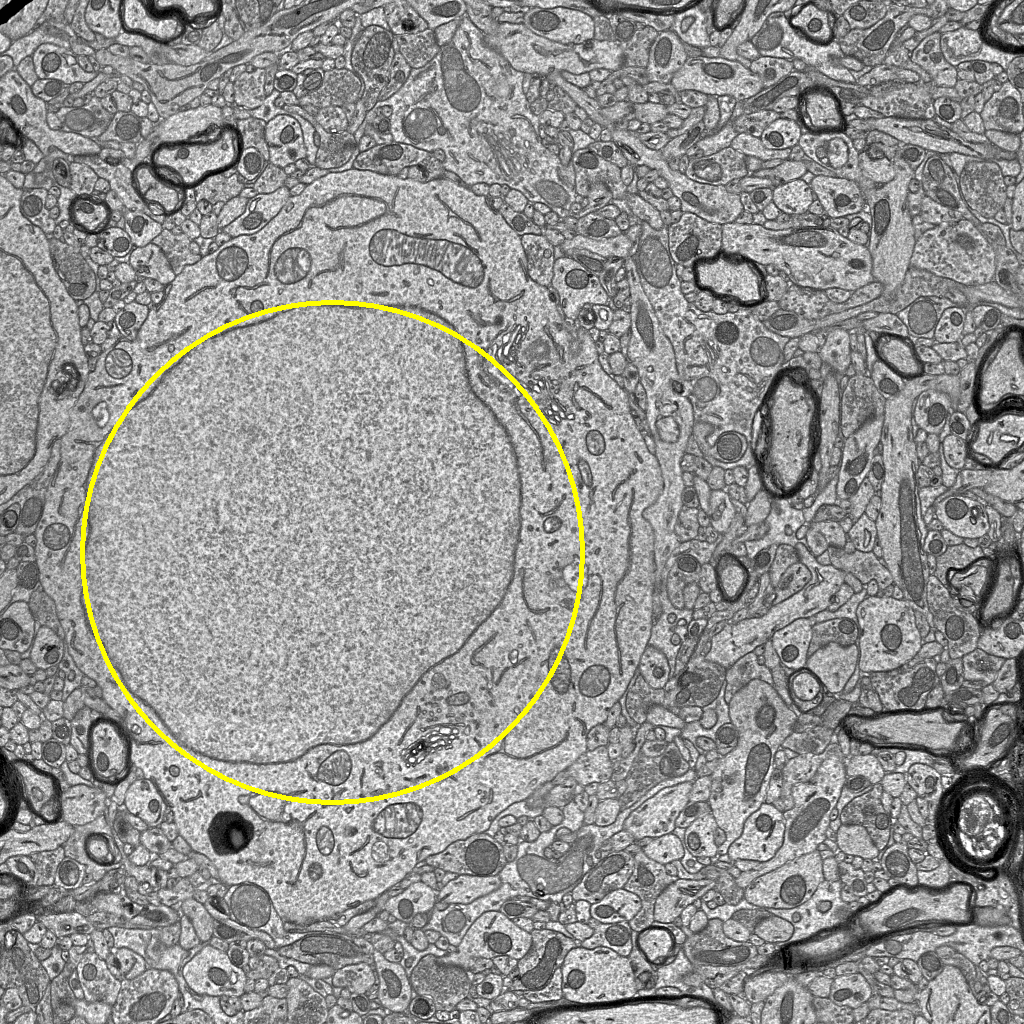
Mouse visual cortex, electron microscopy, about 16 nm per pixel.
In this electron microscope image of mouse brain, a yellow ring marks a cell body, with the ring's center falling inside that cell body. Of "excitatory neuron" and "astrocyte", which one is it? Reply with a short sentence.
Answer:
It is an excitatory neuron at the center of the ring.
